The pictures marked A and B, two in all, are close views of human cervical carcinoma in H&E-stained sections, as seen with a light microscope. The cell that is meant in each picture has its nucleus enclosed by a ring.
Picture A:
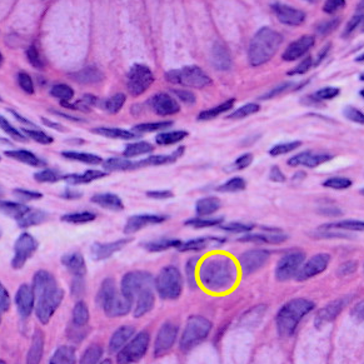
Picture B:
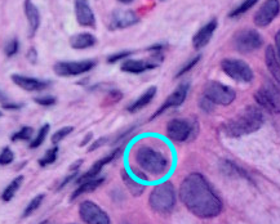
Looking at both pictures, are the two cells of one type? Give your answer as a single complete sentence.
Yes, the two pictures both show secretory epithelial cells.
